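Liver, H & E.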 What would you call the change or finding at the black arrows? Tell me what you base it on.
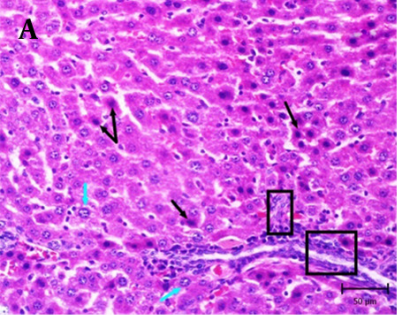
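The marked cells have shrunken, dark nuclei. Their cytoplasm is more deeply pink than that of neighbouring hepatocytes.
Hence: necrotic hepatocytes.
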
